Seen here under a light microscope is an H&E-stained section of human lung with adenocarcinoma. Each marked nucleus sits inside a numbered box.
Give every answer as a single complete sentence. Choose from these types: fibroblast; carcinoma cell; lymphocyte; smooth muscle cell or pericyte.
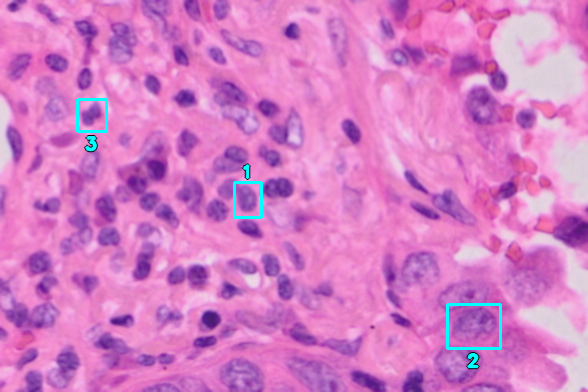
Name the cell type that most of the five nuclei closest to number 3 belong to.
The majority of the five nuclei closest to number 3 belong to fibroblasts.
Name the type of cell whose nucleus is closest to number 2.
The nearest nucleus to number 2 belongs to a carcinoma cell.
